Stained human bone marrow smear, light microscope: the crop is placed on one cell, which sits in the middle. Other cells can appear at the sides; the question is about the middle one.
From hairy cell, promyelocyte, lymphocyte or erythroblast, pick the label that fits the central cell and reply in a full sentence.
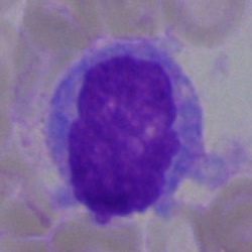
The cell occupying the middle of the crop is a promyelocyte.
